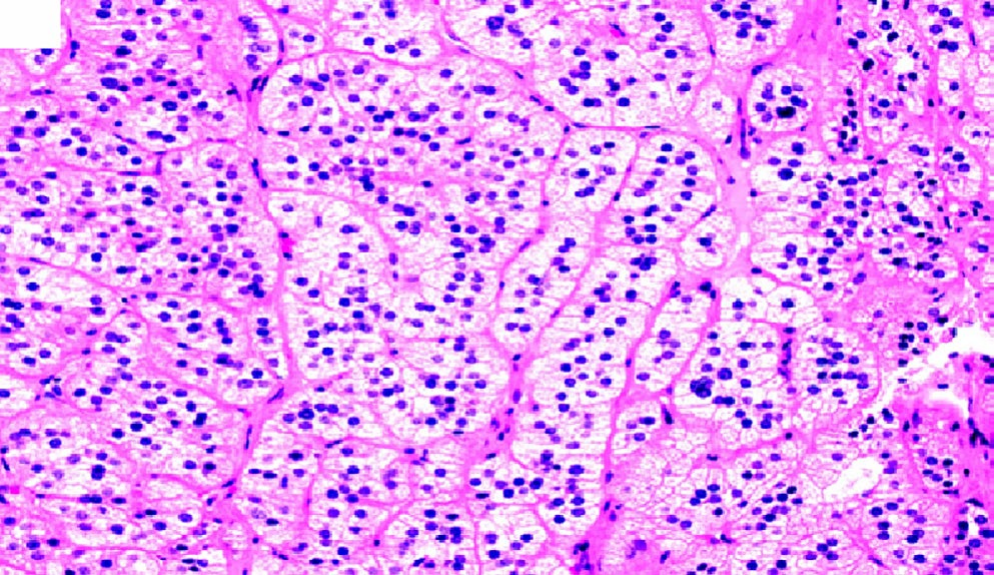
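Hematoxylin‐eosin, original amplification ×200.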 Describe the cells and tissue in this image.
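The cells lie in nests and short cords, separated by delicate pink fibrovascular septa. Their cytoplasm is abundant, pale and finely vacuolated, giving a foamy, clear look. The nuclei are small, round, dark-staining and quite uniform, without marked variation in size or shape.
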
